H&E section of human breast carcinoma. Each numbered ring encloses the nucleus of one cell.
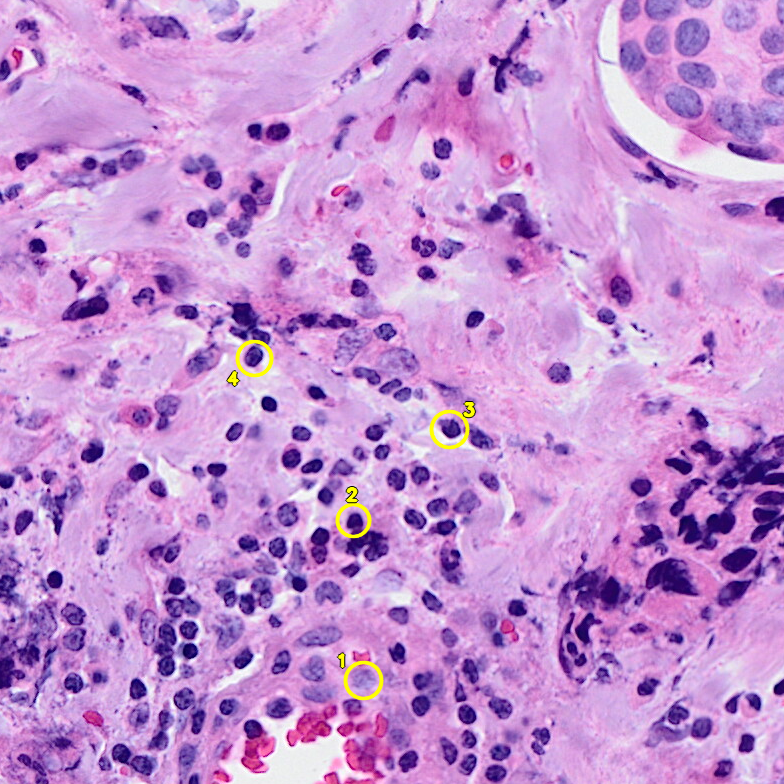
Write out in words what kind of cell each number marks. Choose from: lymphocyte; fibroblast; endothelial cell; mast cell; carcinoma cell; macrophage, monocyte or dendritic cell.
Cell 1 is an endothelial cell. Cells 2, 3 and 4 are lymphocytes.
